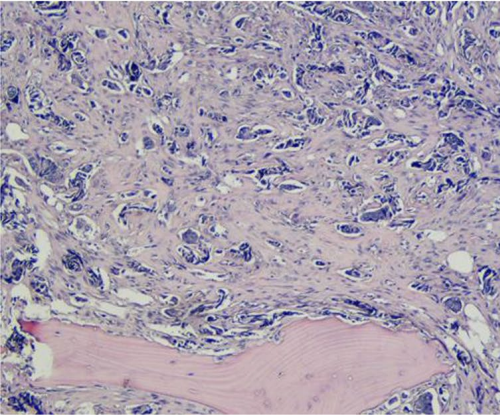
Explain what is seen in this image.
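Bone marrow largely replaced by fibrous stroma holding small nests and cords of dark blue-staining epithelial cells. The background is pale pink, with wavy fibres and spindle-shaped nuclei, and only a few clear fat spaces remain. The cell nests are irregular, compact and crowded, their nuclei dark and overlapping, set apart from the stroma by thin clear clefts. This pattern, epithelial nests within fibrotic marrow, is that of a metastatic carcinoma infiltrating the marrow.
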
